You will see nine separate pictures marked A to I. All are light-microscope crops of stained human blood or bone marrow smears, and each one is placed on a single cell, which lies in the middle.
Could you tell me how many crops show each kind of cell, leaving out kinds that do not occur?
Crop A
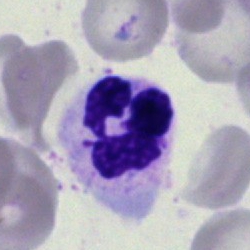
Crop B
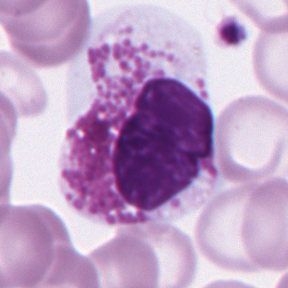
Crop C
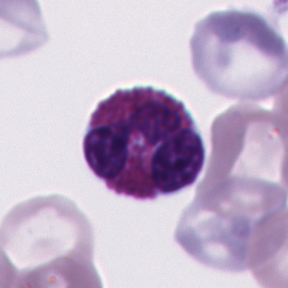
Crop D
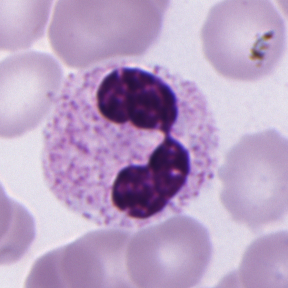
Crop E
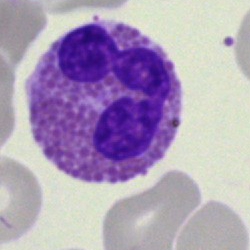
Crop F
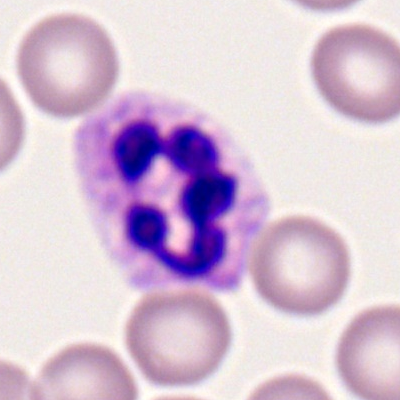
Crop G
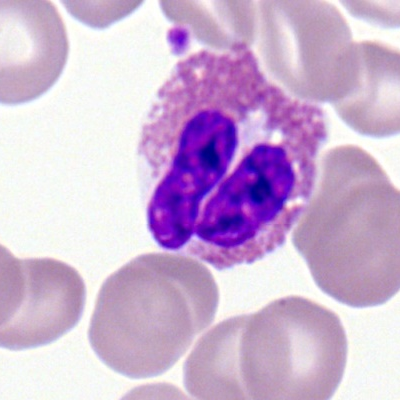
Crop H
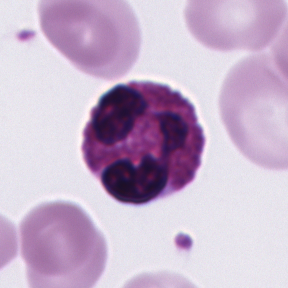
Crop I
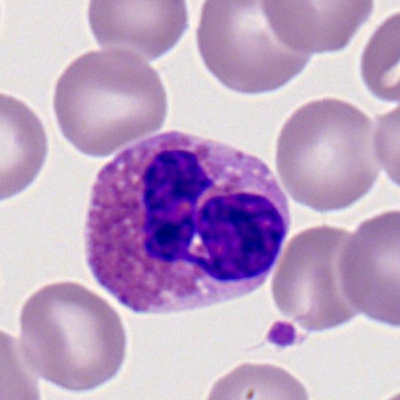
eosinophil: 6
segmented neutrophil: 3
